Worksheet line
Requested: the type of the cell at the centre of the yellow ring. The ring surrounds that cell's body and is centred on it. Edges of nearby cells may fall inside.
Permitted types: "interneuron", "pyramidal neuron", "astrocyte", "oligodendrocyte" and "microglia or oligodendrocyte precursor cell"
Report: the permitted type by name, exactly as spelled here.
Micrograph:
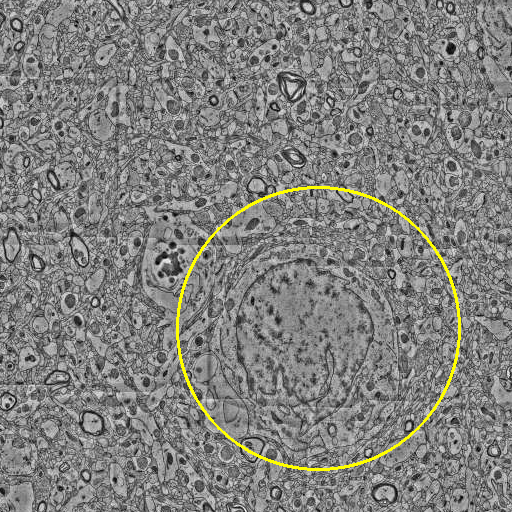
interneuron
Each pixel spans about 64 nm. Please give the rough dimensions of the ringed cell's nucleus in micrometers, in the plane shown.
The nucleus is approximately 9 micrometers across in this plane.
